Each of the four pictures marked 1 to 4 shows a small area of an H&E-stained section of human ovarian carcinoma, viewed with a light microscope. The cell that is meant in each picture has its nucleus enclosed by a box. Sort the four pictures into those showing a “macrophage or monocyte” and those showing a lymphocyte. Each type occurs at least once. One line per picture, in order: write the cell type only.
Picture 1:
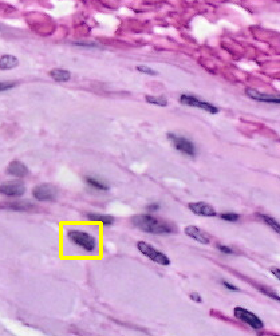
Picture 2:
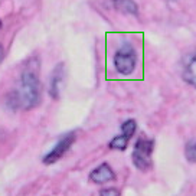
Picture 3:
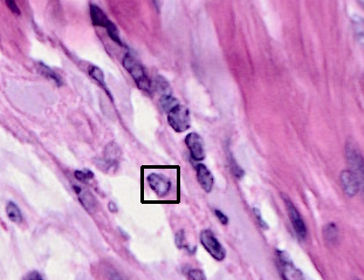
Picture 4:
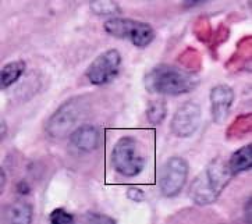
lymphocyte
macrophage or monocyte
macrophage or monocyte
macrophage or monocyte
